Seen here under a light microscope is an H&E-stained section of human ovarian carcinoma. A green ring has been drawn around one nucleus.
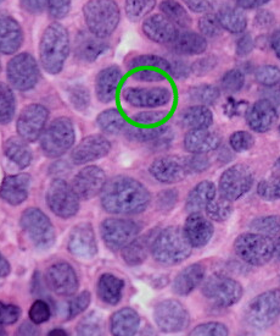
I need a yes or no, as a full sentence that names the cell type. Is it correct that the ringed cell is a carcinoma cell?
Yes, the naming of the ringed cell as a carcinoma cell is correct.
